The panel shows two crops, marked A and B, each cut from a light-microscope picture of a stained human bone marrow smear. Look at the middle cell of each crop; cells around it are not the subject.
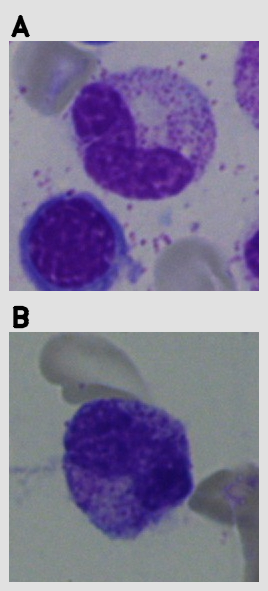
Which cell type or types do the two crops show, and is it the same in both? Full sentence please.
No, a band neutrophil is what crop A shows, and a metamyelocyte is what crop B shows.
